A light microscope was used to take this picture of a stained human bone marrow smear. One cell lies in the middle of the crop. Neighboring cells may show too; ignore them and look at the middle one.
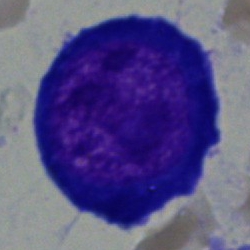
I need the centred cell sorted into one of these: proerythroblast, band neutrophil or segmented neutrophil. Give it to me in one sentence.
By type, the central cell of the crop is a proerythroblast.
